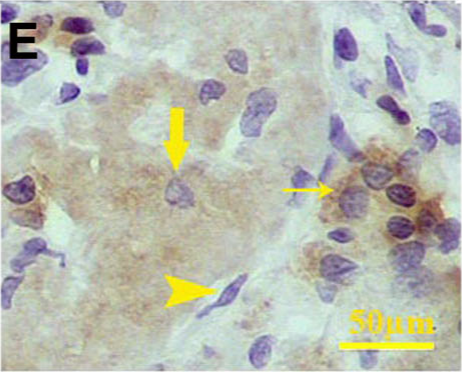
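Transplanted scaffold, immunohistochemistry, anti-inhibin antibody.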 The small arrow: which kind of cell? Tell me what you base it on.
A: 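The small arrow points to a cluster of cells with round dark nuclei. These cells have brown-stained cytoplasm.
Answer: Leydig-like cells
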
